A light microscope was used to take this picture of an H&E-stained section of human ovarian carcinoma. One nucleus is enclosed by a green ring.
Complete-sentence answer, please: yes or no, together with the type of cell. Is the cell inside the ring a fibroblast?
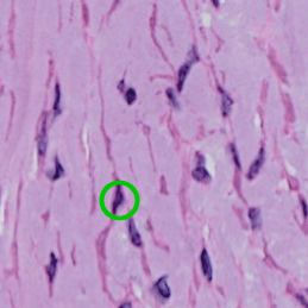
Yes, it is a fibroblast that the cell inside the ring represents in this section.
